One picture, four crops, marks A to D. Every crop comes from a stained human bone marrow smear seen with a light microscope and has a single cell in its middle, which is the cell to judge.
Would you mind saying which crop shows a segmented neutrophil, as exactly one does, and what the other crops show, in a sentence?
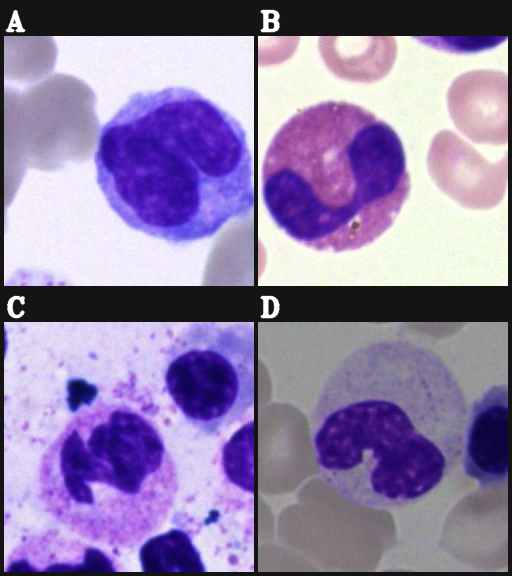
The central cell of crop C is identified as a segmented neutrophil, while crop A is a monocyte, crop B is an eosinophil and crop D is a band neutrophil.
